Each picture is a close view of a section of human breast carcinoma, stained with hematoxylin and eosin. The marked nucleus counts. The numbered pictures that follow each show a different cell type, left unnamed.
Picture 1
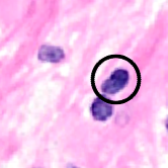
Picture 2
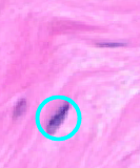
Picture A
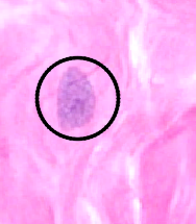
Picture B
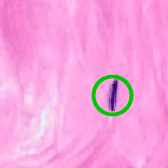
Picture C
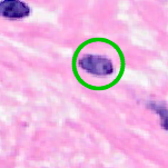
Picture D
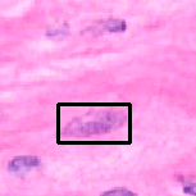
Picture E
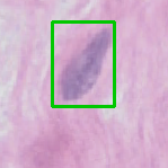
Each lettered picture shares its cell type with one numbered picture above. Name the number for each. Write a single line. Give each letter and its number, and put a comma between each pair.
A 2, B 2, C 1, D 2, E 2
